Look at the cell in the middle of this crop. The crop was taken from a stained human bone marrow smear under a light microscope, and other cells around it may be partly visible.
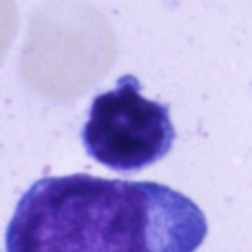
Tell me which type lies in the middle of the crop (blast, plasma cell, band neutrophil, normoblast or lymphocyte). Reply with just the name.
lymphocyte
